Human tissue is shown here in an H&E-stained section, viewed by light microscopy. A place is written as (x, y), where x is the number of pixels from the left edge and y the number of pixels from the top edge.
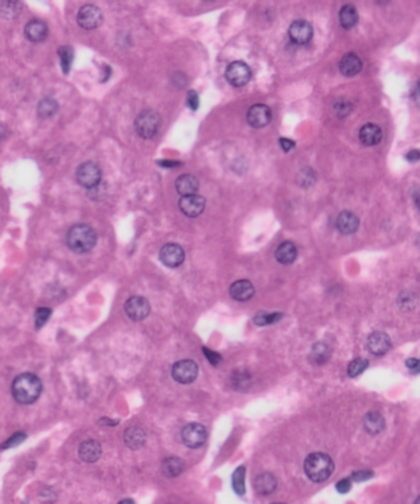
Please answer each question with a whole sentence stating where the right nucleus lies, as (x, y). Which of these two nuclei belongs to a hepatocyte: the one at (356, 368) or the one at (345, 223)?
The nucleus at (345, 223) is identified as belonging to a hepatocyte.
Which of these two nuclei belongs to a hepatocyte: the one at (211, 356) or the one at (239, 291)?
Here the nucleus at (239, 291) is the one that belongs to a hepatocyte.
